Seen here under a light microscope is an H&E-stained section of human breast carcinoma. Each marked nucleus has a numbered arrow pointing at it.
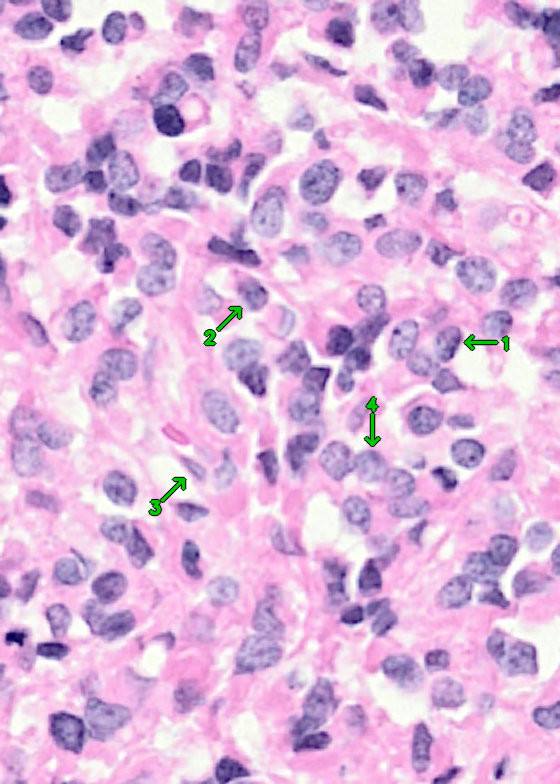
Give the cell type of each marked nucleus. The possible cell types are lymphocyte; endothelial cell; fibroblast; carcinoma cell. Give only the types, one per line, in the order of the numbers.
carcinoma cell
carcinoma cell
endothelial cell
carcinoma cell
